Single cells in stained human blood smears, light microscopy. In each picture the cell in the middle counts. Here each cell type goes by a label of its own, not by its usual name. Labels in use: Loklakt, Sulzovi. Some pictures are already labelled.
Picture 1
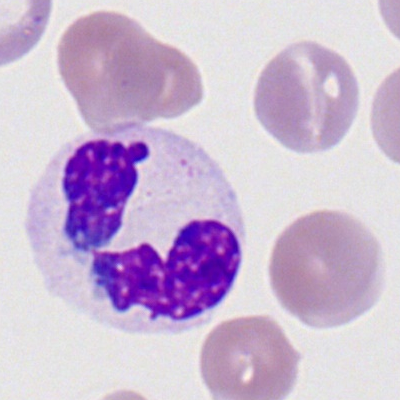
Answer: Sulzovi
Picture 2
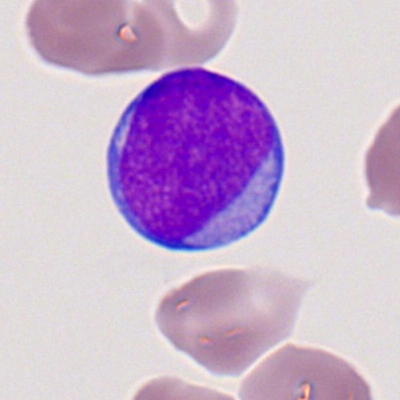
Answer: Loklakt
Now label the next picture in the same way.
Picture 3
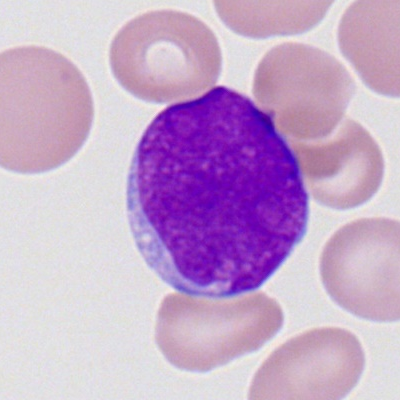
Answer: Loklakt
